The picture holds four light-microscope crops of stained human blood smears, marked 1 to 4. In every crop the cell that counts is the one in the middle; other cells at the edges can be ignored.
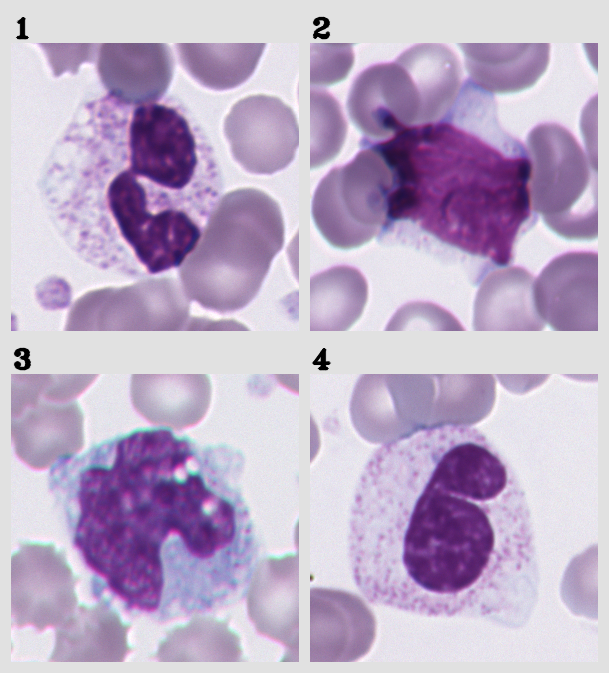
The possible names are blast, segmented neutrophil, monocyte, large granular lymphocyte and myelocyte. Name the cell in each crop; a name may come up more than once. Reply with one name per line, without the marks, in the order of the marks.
segmented neutrophil
large granular lymphocyte
monocyte
segmented neutrophil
